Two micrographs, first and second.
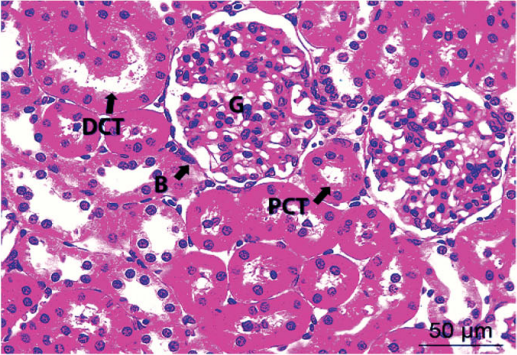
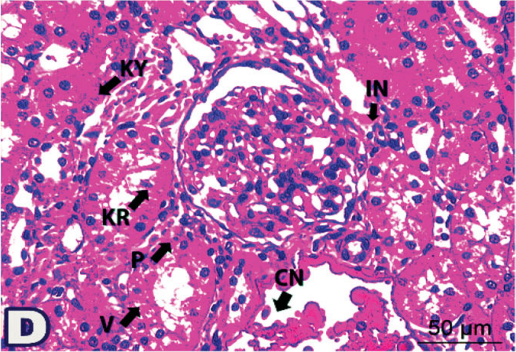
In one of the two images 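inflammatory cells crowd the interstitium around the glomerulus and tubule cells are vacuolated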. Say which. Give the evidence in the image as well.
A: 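The second image. First image: tubules lie close together with little interstitial tissue and evenly pink cytoplasm. Second image: many small dark nuclei and spindle cells fill the space around the glomerulus. Second image: several tubules have pale, bubbly, vacuolated cytoplasm.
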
